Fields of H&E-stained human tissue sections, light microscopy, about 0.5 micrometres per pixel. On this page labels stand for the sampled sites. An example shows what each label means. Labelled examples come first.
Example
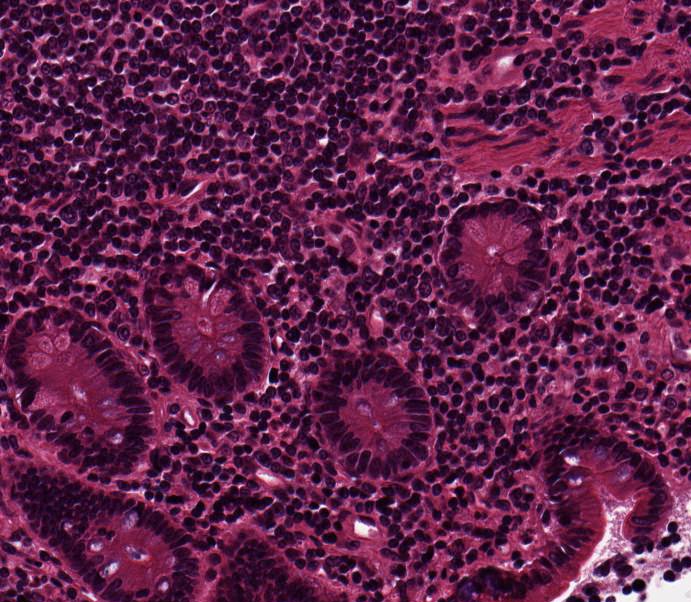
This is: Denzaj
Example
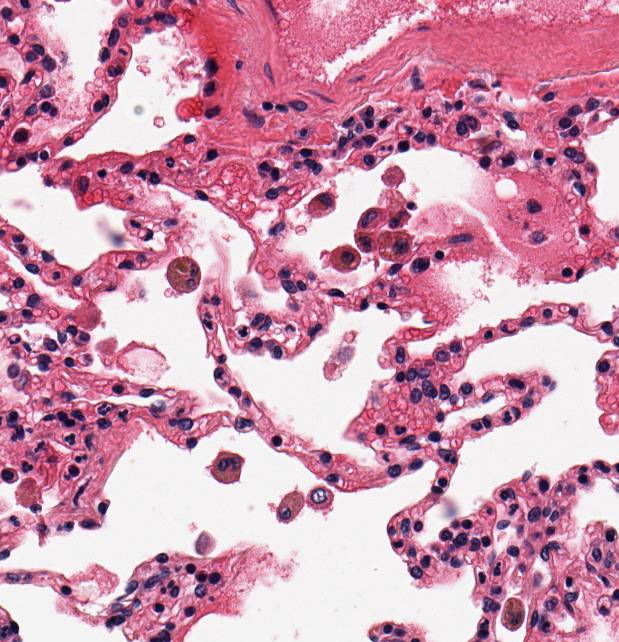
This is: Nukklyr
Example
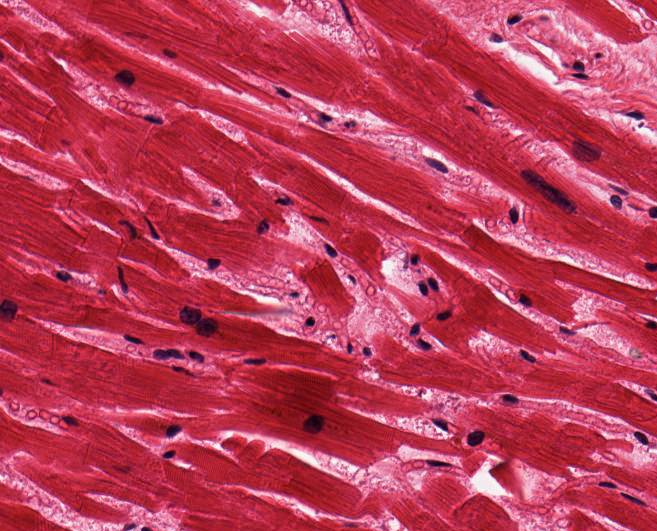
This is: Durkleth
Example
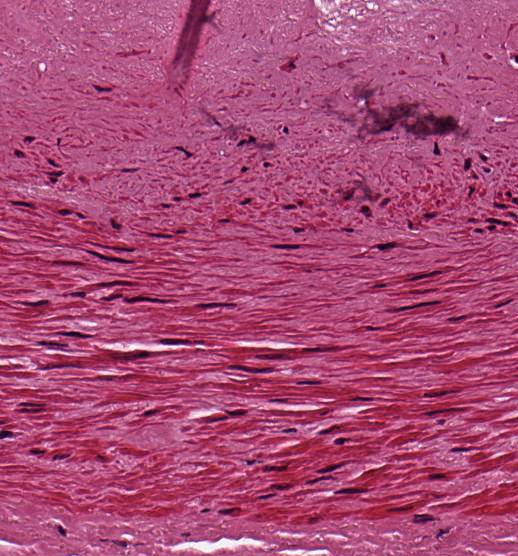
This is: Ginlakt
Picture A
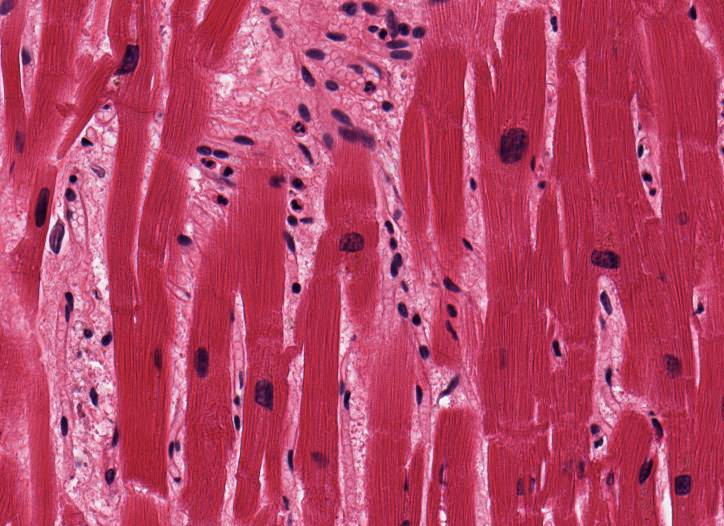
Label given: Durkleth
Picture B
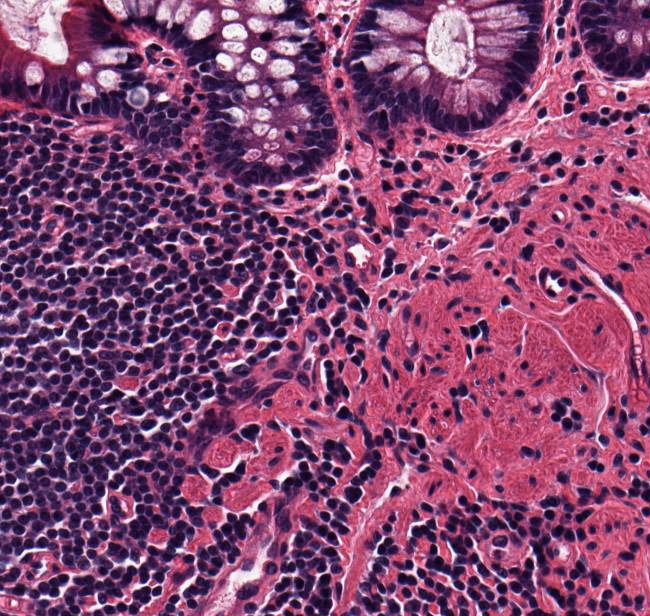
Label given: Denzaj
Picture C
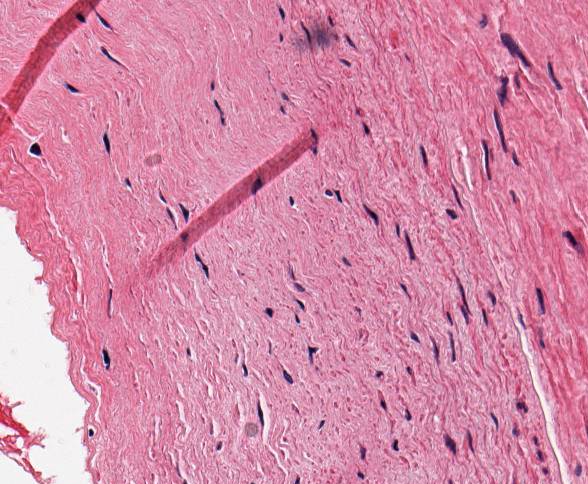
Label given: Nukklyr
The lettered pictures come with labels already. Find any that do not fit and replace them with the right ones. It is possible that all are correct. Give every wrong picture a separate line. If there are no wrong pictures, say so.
C: change Nukklyr to Ginlakt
